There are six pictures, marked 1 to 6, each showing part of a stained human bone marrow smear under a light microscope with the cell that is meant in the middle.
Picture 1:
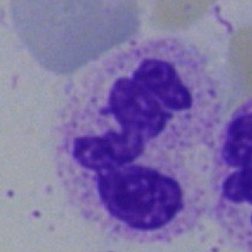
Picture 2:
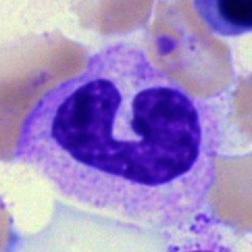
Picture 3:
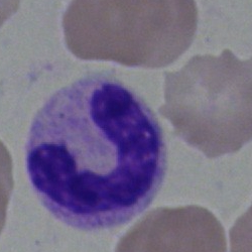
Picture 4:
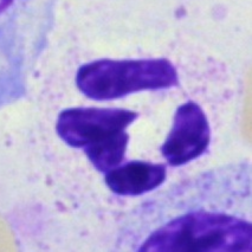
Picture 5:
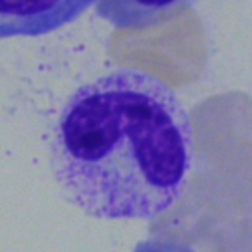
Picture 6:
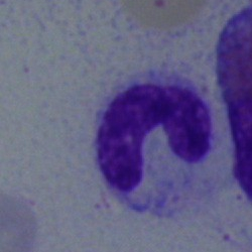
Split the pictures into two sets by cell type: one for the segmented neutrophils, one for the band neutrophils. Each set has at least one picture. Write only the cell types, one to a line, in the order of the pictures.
segmented neutrophil
band neutrophil
band neutrophil
segmented neutrophil
band neutrophil
band neutrophil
